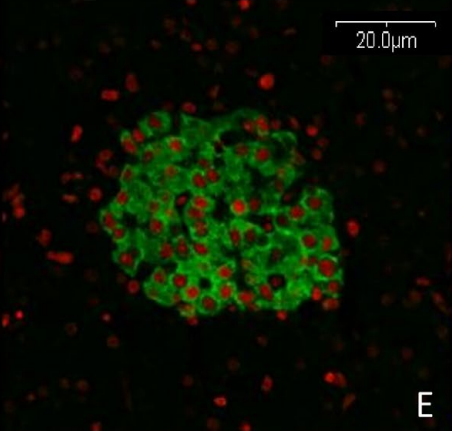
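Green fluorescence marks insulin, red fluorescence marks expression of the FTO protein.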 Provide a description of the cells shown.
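This is a Langerhans islet, a compact rounded cluster of beta cells whose cytoplasm glows green, set in surrounding tissue that shows no green. Within the islet each polygonal cell holds one round red nucleus, so the islet looks like a green mosaic studded with red dots. Outside the islet only scattered red nuclei are seen in the dark background.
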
